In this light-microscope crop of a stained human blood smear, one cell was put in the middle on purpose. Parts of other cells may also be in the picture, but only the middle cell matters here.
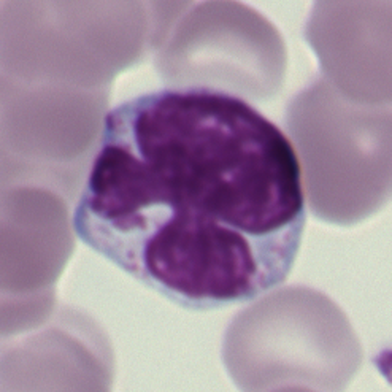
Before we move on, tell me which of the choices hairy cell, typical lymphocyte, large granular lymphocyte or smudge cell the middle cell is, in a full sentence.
This particular crop is centered on a large granular lymphocyte.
